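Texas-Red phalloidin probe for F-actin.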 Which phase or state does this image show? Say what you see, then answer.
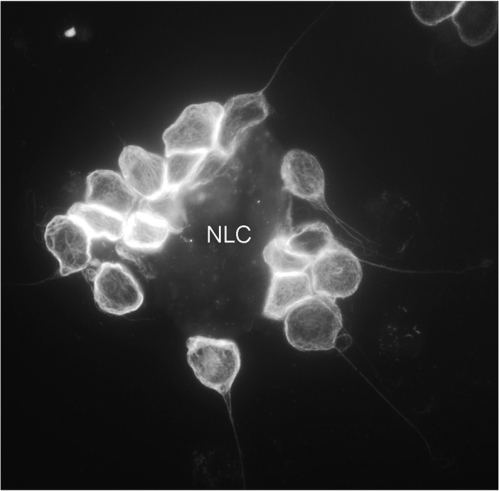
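Small rounded cells are clustered against a large faint central cell. Many of the small cells trail a thin tail pointing away from the central cell.
Clear polarity with anterior interaction and posterior tail.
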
